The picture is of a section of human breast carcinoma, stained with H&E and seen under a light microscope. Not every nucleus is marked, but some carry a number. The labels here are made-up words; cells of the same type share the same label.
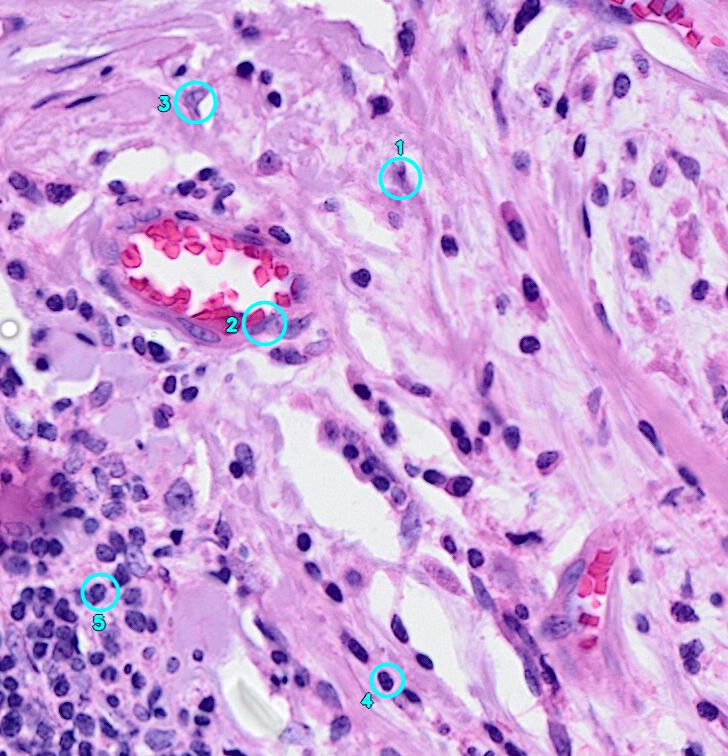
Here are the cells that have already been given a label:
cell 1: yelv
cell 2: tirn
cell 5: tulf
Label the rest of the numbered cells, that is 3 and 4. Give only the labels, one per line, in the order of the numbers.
yelv
tulf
